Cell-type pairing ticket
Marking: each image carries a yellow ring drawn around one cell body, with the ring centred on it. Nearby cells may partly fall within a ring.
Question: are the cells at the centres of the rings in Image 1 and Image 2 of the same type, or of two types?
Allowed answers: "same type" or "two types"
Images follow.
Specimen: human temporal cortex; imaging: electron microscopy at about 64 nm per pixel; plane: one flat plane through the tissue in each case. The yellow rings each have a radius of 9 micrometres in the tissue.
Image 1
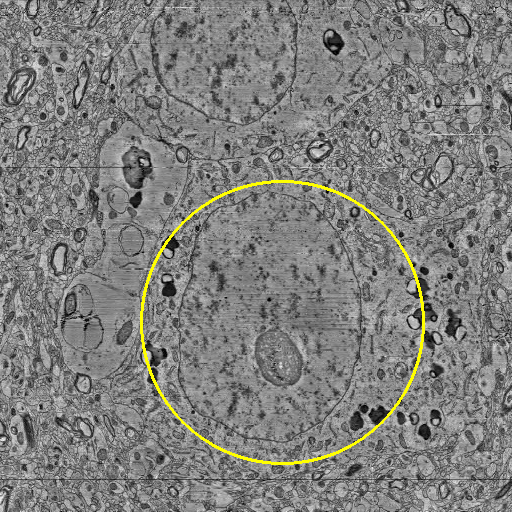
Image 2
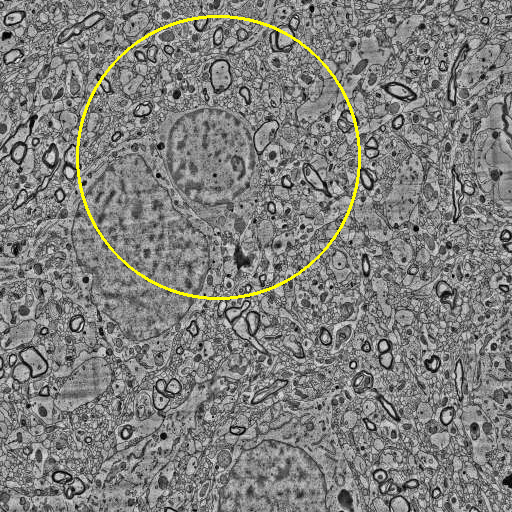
two types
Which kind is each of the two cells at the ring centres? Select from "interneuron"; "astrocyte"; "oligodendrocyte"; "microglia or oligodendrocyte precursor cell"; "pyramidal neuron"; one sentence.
The cell at the centre of the ring is a pyramidal neuron in the first picture and an oligodendrocyte in the second.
